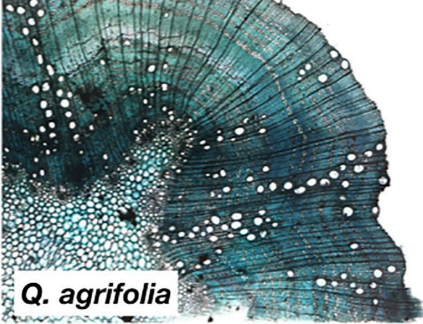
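A quarter of a stem cross-section stained blue-green shows, at one corner, a centre of small rounded cells, ringed by a broad band of dense woody tissue. Scattered through the band are conspicuous large, round, empty openings, often lined up in loose radial or oblique rows, set among very fine cells. Many thin dark lines radiate outward to the edge, and some areas near the centre stain more deeply. The large openings are vessels of the stem xylem, the radiating lines are rays, and the central small-celled region is the pith.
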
